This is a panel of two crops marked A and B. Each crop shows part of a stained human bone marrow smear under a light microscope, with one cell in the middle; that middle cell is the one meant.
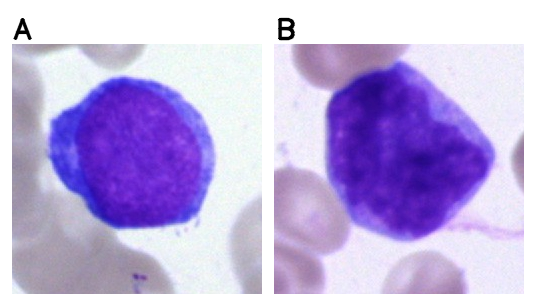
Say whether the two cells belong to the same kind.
yes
